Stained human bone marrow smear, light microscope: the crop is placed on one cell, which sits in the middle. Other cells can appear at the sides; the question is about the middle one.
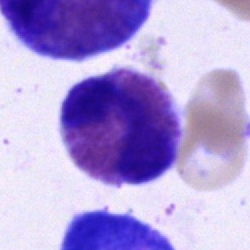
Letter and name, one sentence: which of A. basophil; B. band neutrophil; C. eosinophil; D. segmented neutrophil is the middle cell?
Option C is the correct selection, for the cell at the centre is an eosinophil.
